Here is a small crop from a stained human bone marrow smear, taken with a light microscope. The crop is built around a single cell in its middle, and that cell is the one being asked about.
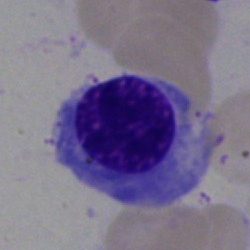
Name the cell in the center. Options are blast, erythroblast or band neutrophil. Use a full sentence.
Where the crop is centred, there is an erythroblast.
